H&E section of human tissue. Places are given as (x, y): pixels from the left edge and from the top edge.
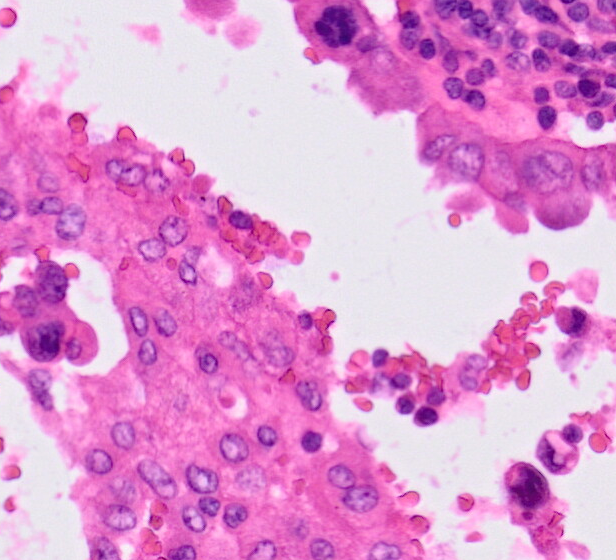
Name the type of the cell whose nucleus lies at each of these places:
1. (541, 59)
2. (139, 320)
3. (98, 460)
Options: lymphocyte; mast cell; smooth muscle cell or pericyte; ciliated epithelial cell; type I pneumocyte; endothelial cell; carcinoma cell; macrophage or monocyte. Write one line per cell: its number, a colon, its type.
1: lymphocyte
2: macrophage or monocyte
3: macrophage or monocyte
